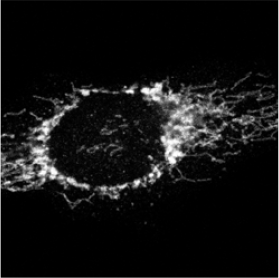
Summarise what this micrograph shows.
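Thin tubular threads branch and interconnect throughout the cytoplasm, most densely packed in a ring around the nucleus. The nucleus appears as a dark, roughly round unstained area near the centre. Towards the cell periphery the tubules thin out into single long strands reaching the cell edge. A few short isolated rods lie over the nuclear region.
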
